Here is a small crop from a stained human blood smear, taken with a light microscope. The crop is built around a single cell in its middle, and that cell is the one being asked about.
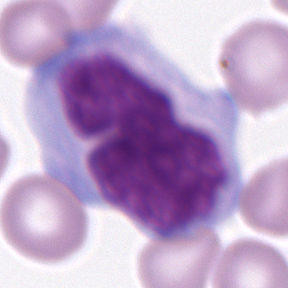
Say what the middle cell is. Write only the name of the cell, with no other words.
monocyte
